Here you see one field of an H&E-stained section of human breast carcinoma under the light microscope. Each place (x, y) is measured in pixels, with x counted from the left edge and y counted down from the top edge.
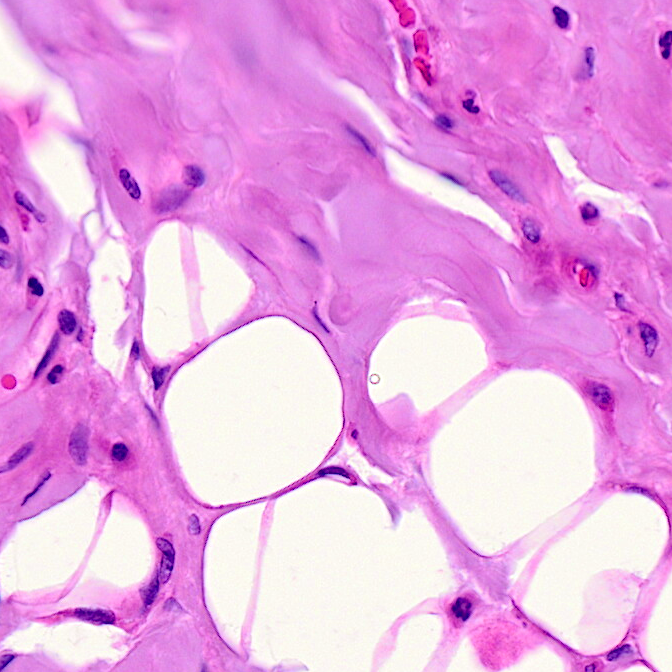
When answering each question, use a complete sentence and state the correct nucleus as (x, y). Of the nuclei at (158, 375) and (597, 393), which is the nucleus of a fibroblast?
The nucleus whose cell is a fibroblast is the one at (158, 375).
